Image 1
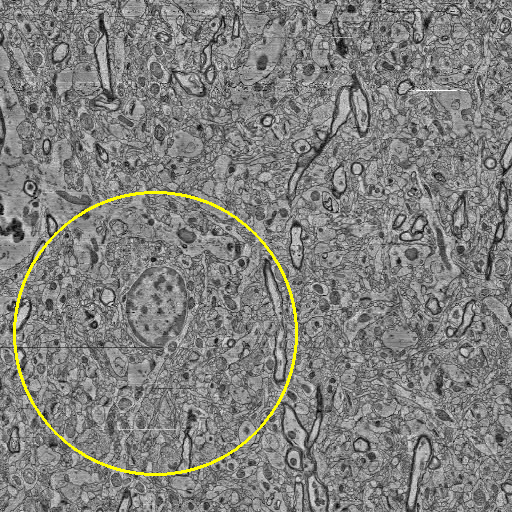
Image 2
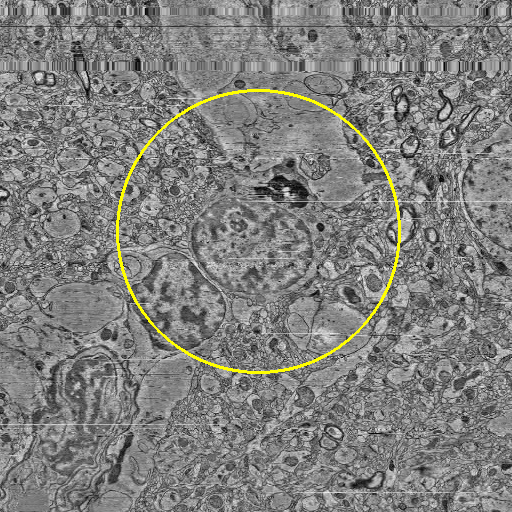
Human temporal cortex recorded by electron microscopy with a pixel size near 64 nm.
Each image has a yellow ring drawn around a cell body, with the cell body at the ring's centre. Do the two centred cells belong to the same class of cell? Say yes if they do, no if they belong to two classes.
no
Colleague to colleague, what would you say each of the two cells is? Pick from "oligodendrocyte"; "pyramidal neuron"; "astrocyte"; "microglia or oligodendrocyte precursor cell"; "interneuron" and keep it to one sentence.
The cell in the first picture is a microglial cell or oligodendrocyte precursor cell; the second picture's cell is an oligodendrocyte.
